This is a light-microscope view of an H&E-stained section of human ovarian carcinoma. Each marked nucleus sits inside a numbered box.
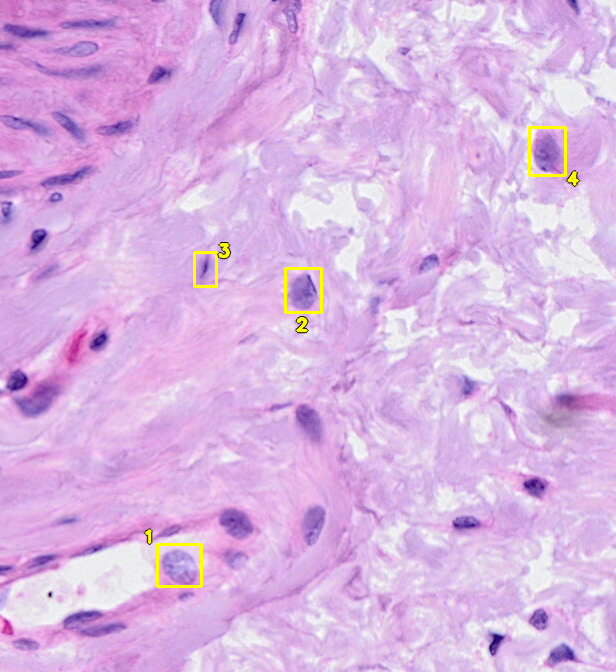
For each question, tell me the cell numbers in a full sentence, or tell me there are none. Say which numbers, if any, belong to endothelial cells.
Among the labelled cells, only the cell labelled 1 is an endothelial cell.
